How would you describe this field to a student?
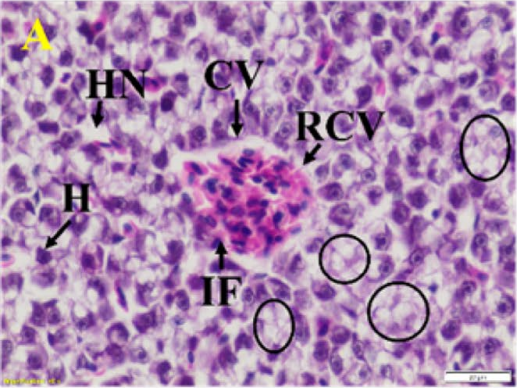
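Liver tissue made of hepatocytes surrounding a central vein. The vein is packed with a dense mass of pink-stained cells with dark nuclei, and its wall is not clearly outlined, appearing broken. Around it the hepatocytes are polygonal with round central purple nuclei, but many have pale, clear, vacuolated cytoplasm, so the tissue looks loose and washed out with spaces between cells. Several small dark nuclei are scattered among the hepatocytes, and some areas show cells with faint or lost outlines, consistent with damaged tissue.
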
